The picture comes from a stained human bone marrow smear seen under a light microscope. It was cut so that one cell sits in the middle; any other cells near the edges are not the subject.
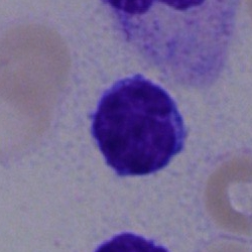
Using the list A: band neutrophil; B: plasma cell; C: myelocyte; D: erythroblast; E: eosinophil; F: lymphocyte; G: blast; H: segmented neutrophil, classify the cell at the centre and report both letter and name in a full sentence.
Occupying the middle of the crop is a lymphocyte, hence option F is correct.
